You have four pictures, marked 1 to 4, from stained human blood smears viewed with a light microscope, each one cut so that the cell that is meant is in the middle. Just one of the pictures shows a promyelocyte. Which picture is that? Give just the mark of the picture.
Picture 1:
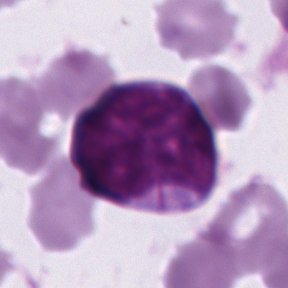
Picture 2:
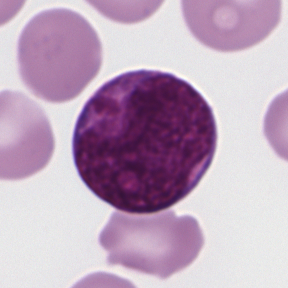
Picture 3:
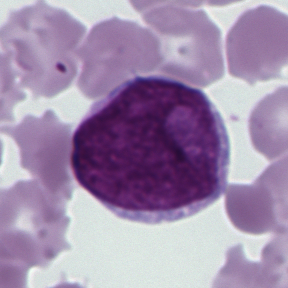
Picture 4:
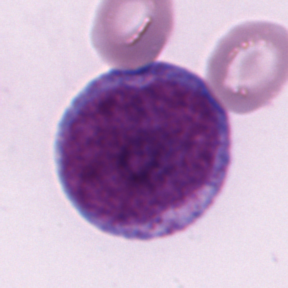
4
